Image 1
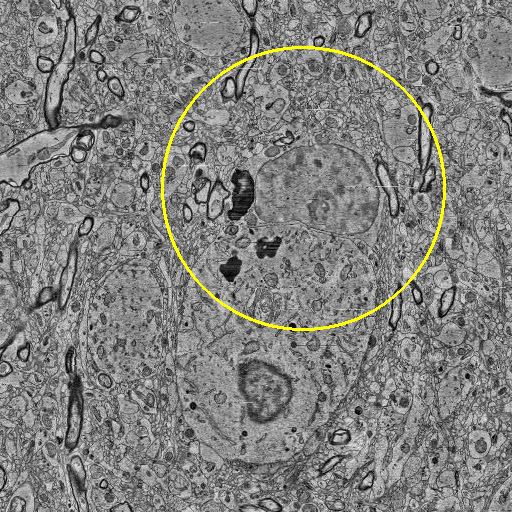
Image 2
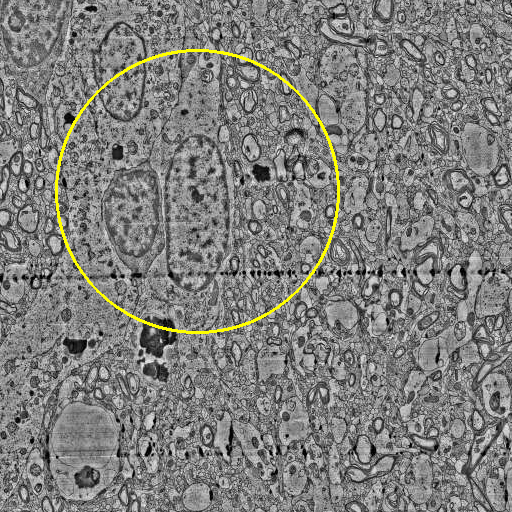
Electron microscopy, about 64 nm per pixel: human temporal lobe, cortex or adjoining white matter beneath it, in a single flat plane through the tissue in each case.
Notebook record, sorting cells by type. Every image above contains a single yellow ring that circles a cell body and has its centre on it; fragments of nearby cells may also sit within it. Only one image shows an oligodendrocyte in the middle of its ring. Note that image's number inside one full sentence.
For image 1, the cell in the middle of its yellow ring is the match.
